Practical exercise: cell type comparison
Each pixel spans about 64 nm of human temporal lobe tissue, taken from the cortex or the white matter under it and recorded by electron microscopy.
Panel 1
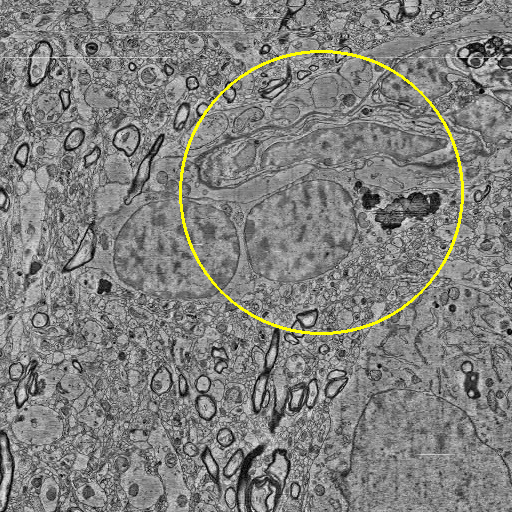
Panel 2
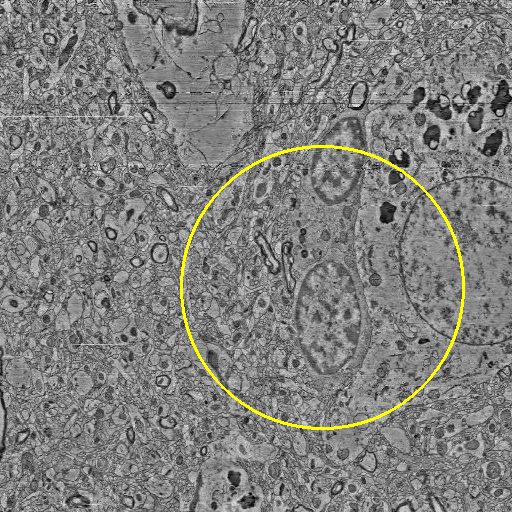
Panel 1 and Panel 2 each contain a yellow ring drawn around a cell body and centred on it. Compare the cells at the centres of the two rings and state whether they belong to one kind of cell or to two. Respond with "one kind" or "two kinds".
one kind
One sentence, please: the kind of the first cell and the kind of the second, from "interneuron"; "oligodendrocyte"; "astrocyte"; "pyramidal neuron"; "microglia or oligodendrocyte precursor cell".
Each of the two rings surrounds an oligodendrocyte.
